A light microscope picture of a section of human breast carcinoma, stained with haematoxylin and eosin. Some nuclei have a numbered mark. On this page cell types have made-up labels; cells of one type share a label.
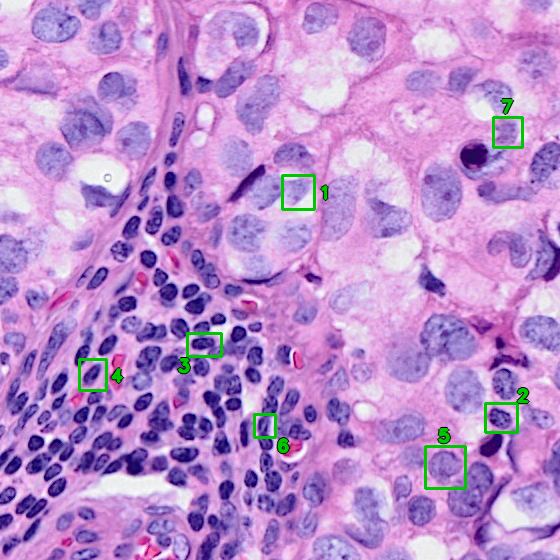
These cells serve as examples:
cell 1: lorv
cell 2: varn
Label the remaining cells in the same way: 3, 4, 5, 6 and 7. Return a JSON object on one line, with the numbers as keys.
{"3": "varn", "4": "varn", "5": "lorv", "6": "varn", "7": "lorv"}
